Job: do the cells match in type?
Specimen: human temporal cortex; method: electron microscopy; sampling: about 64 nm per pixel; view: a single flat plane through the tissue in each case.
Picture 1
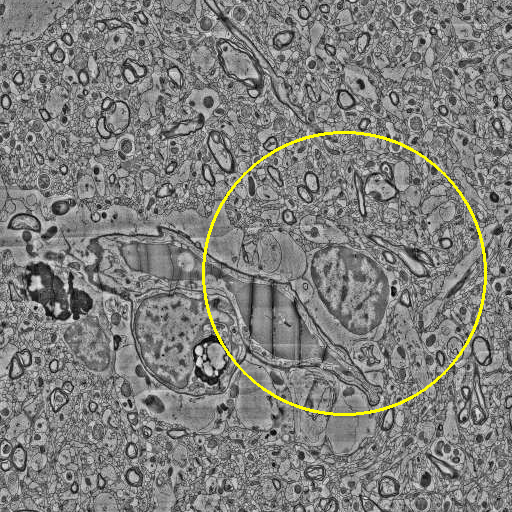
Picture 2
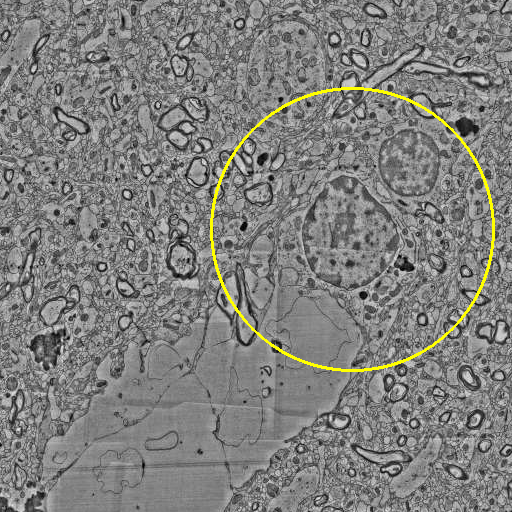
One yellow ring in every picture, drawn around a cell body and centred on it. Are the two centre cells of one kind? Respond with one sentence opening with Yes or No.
Yes, the ringed cells in the two pictures are of one and the same kind.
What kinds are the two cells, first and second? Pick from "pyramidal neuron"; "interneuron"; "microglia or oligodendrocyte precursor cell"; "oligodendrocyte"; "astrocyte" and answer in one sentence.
In both pictures the ring is centred on a microglial cell or oligodendrocyte precursor cell.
